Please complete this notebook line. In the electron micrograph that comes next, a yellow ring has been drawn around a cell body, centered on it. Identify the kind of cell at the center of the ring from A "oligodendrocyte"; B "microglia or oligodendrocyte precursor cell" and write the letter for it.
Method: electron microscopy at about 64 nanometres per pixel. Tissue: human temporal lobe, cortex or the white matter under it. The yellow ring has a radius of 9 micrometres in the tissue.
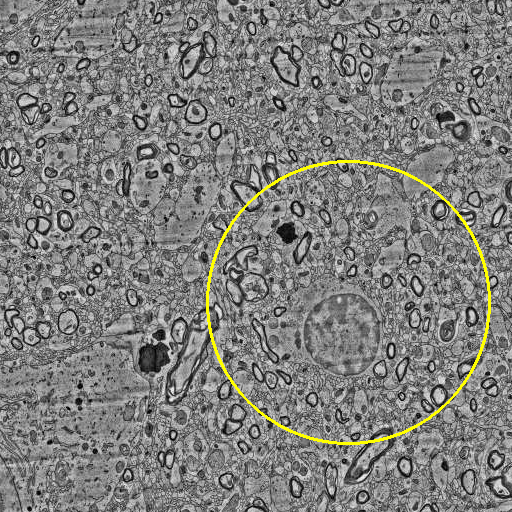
A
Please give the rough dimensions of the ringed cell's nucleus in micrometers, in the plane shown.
The nucleus measures about 5 micrometers across in this plane.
